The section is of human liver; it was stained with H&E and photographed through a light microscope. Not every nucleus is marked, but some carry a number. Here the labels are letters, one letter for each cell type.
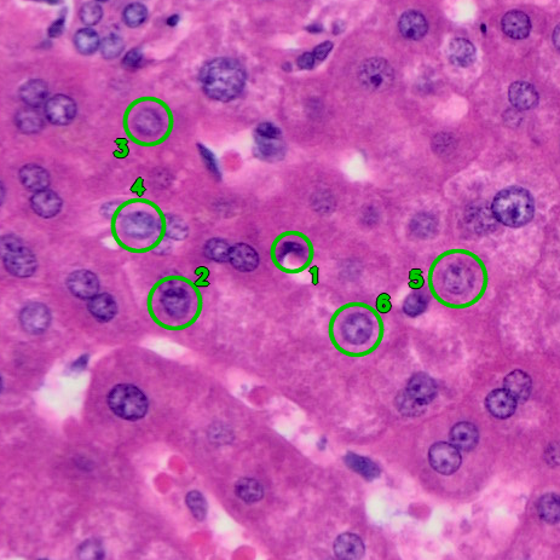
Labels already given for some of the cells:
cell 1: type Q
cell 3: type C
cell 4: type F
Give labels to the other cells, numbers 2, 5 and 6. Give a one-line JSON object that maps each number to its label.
{"2": "type C", "5": "type C", "6": "type C"}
